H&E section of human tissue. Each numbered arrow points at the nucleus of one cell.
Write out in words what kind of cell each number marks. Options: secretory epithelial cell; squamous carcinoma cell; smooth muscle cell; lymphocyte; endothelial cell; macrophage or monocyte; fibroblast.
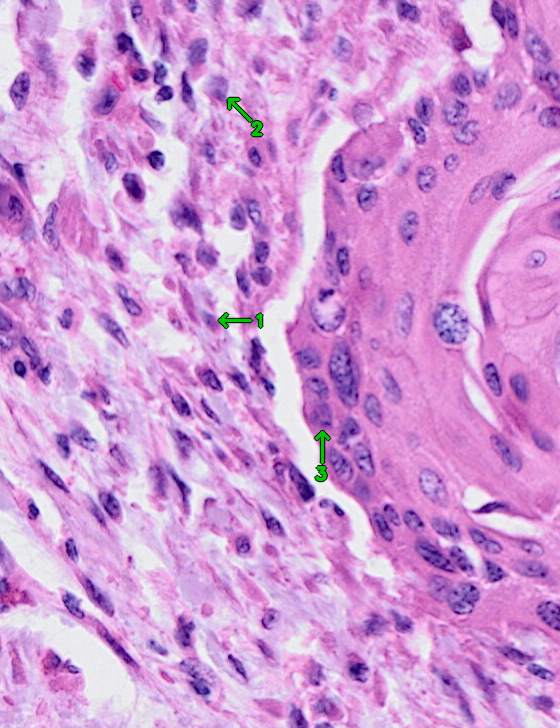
Cells 1 and 2 are fibroblasts. Cell 3 is a squamous carcinoma cell.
